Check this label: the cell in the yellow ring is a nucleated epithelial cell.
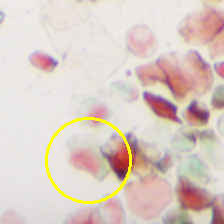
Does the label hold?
The label holds; the cell is a nucleated epithelial cell.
